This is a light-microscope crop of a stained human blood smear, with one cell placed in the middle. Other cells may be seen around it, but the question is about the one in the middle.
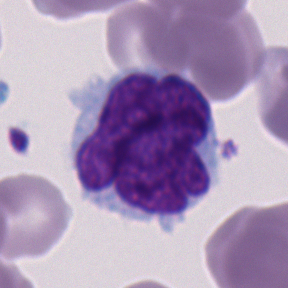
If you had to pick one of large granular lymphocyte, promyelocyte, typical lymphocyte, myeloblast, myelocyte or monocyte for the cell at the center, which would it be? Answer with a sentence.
The cell featured at the centre of this crop is a monocyte.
